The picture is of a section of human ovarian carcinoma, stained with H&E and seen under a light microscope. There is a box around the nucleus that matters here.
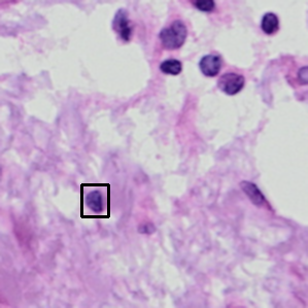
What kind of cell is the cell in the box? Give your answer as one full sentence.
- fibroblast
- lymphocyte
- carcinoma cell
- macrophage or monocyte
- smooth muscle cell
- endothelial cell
For the purposes of cell typing, the cell in the box is categorized as a lymphocyte.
